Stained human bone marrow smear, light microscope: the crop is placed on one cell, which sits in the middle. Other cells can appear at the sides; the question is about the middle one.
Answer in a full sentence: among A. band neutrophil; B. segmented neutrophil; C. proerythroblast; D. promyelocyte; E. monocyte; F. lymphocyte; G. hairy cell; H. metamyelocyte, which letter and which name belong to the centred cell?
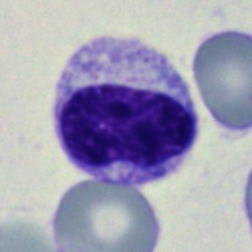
Option H is correct, naming the cell in the middle as a metamyelocyte.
